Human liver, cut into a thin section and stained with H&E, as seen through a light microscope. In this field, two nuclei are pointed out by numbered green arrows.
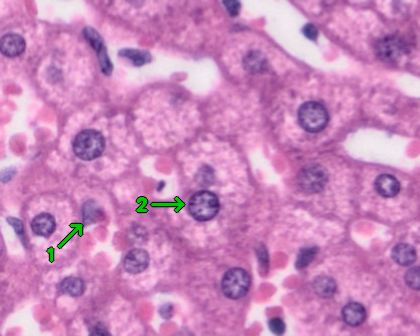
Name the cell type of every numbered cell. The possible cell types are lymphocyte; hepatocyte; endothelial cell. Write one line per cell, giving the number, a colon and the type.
1: endothelial cell
2: hepatocyte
